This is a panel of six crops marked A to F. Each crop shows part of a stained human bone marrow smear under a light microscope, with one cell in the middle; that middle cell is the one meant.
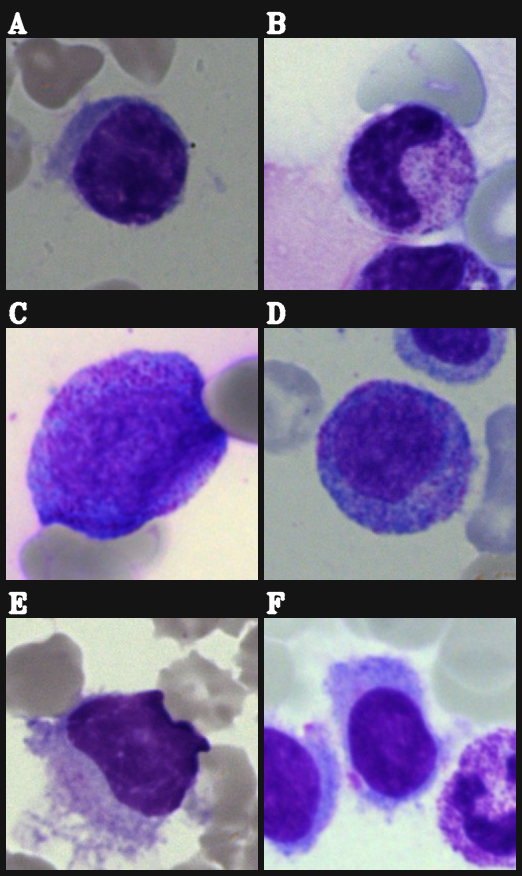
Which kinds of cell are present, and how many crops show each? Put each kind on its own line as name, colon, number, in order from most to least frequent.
hairy cell: 3
promyelocyte: 2
band neutrophil: 1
